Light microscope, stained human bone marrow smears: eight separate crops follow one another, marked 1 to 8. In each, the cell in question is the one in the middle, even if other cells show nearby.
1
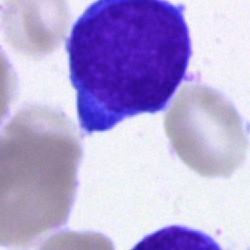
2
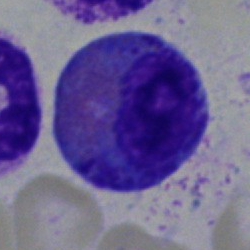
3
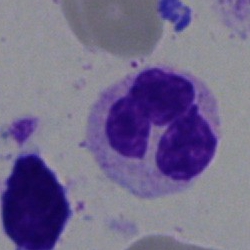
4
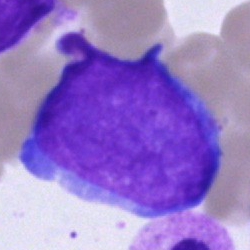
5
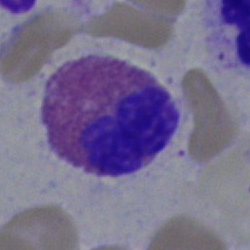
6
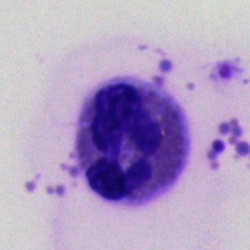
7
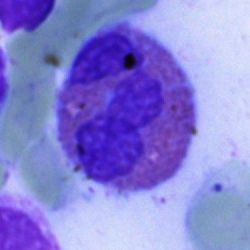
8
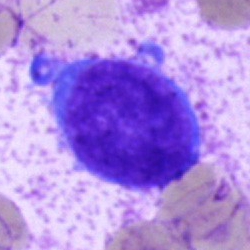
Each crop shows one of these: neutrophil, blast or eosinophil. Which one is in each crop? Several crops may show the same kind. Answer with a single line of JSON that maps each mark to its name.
{"1": "blast", "2": "eosinophil", "3": "neutrophil", "4": "blast", "5": "eosinophil", "6": "eosinophil", "7": "eosinophil", "8": "blast"}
